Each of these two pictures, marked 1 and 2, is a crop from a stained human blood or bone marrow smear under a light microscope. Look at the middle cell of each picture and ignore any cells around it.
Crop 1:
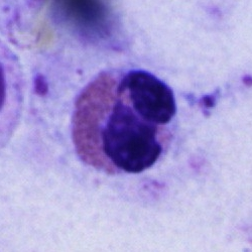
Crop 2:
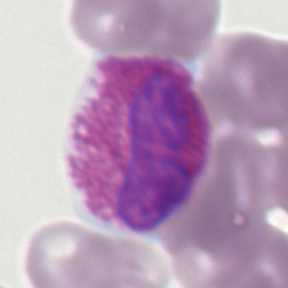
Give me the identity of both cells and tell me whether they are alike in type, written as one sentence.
Yes, that holds, both crops show eosinophils.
